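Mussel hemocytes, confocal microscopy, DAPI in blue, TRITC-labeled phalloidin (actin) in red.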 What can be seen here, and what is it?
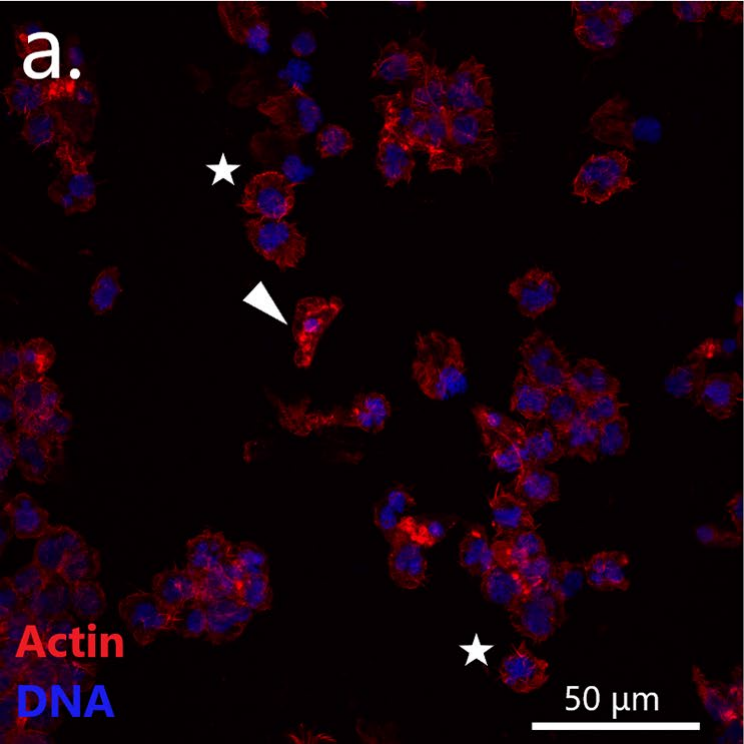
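Most cells are rounded, each with a blue nucleus occupying a large share of the cell and a rim of red staining around it, some with fine red fibres. A few cells are more elongated or spread with irregular red outlines and smaller nuclei. Several cells gather into compact clumps where nuclei and red outlines overlap.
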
